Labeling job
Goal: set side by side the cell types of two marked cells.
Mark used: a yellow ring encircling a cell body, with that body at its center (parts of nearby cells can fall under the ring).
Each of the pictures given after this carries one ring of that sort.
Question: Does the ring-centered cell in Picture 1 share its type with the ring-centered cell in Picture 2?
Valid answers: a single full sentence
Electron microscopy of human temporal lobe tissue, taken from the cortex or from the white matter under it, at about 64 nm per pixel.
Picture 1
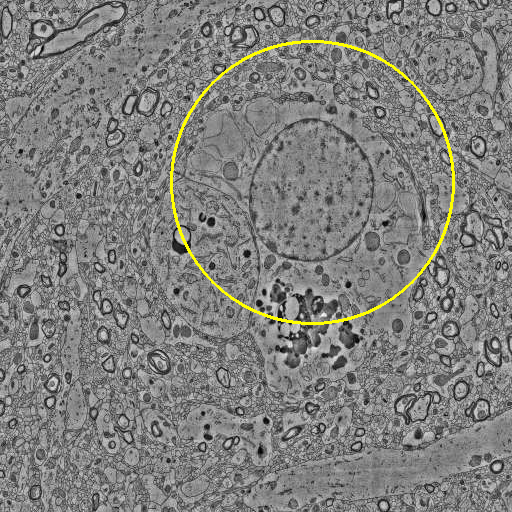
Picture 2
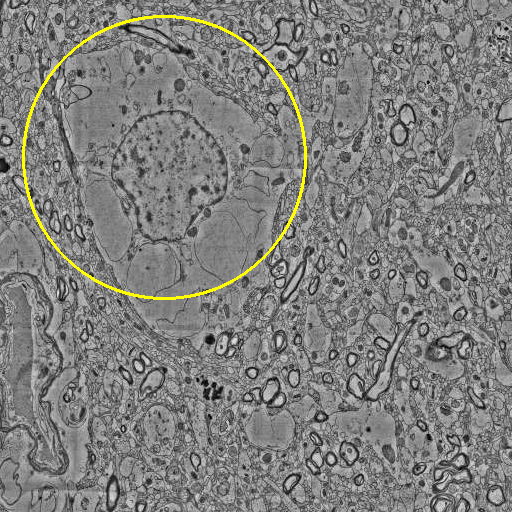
Yes, in Pictures 1 and 2 the cells at the ring centers share one type.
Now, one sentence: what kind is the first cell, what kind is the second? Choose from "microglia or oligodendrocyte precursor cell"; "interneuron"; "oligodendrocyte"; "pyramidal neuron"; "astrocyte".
Both rings mark an astrocyte, one in each picture.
